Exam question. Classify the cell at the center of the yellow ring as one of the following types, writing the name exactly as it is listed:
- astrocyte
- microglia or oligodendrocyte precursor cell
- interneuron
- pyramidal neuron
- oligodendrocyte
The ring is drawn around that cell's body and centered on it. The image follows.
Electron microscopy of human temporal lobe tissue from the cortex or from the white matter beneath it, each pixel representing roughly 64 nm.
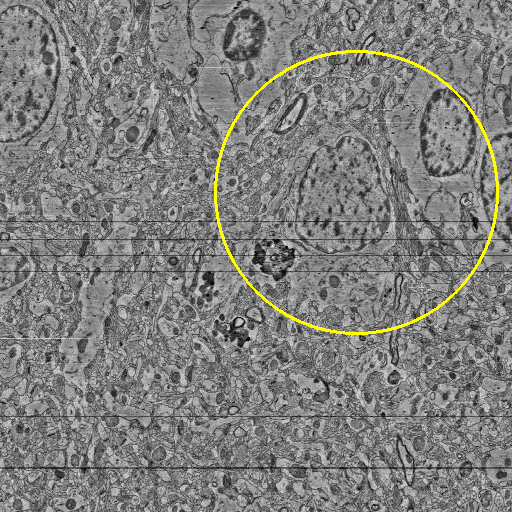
microglia or oligodendrocyte precursor cell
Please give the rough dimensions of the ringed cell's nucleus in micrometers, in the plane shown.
In this plane the nucleus is about 8 micrometres by 6.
